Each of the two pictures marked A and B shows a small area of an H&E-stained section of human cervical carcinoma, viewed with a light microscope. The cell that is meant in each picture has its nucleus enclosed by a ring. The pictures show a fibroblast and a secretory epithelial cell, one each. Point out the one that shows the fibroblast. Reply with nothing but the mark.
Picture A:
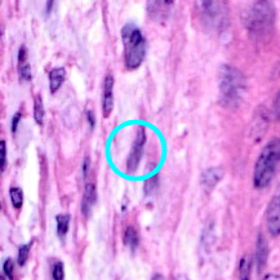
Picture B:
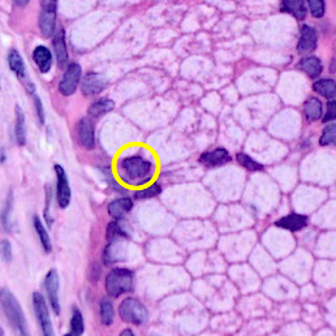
A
